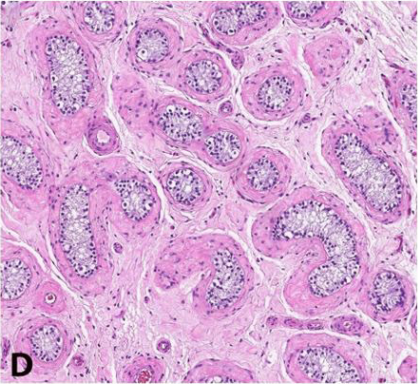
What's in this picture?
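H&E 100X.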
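Section of seminiferous tubules, each encircled by a thick, homogeneous, glassy pink collar of hyalinized fibrous tissue. The tubules are small, round to elongated and serpiginous in profile. Their lining consists of a single layer of cells with small nuclei and pale, finely vacuolated cytoplasm that fills the centre. No layered germ cell maturation is evident. Looser pink connective tissue with scattered spindle nuclei and small vessels lies between the hyalinized tubules.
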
